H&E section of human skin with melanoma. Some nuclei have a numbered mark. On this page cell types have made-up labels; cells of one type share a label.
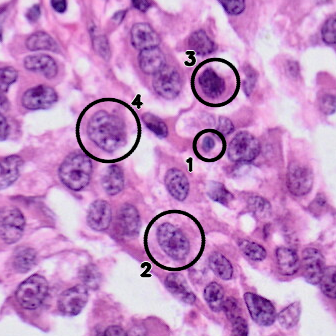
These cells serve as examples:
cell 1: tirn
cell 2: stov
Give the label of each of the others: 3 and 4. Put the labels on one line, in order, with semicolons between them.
stov; stov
